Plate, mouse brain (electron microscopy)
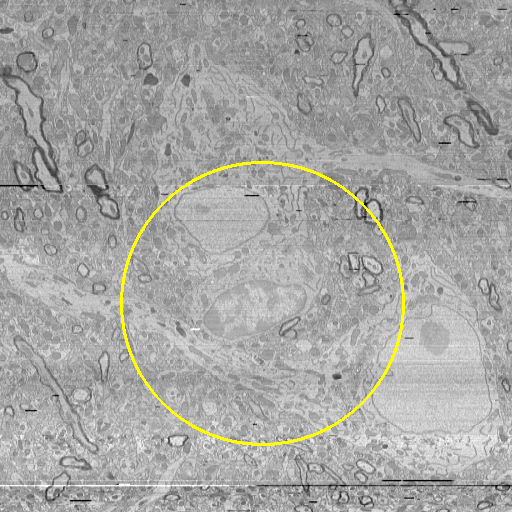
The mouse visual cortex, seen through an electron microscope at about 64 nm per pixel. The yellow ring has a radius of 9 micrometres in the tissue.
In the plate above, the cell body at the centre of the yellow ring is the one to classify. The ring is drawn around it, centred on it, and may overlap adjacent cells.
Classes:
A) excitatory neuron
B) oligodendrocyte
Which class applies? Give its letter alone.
B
